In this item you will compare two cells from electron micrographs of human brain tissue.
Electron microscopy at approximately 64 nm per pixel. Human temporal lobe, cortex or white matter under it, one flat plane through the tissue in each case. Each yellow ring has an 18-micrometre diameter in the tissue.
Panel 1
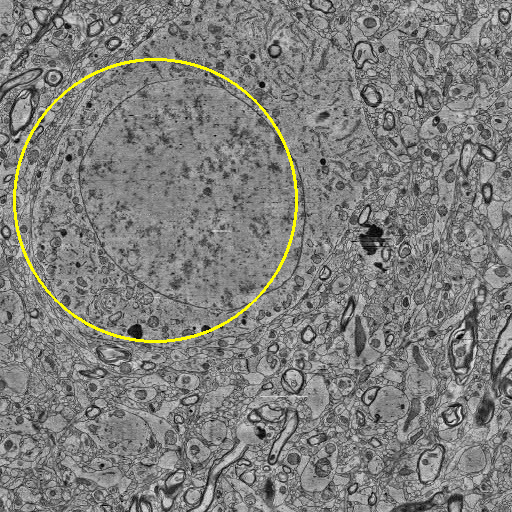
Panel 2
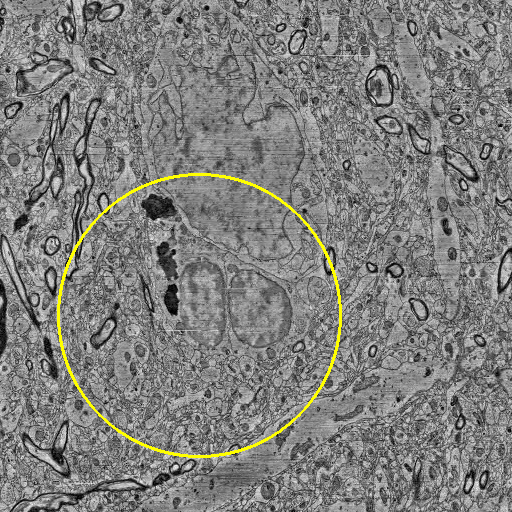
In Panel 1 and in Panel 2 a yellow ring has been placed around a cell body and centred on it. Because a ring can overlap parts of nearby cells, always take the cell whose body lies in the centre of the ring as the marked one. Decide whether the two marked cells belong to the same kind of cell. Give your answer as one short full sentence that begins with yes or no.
No, the two marked cells belong to two kinds of cell.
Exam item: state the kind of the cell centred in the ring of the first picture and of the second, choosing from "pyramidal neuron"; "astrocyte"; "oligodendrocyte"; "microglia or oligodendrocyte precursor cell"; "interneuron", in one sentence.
The first picture shows a pyramidal neuron at the ring centre and the second shows an oligodendrocyte.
